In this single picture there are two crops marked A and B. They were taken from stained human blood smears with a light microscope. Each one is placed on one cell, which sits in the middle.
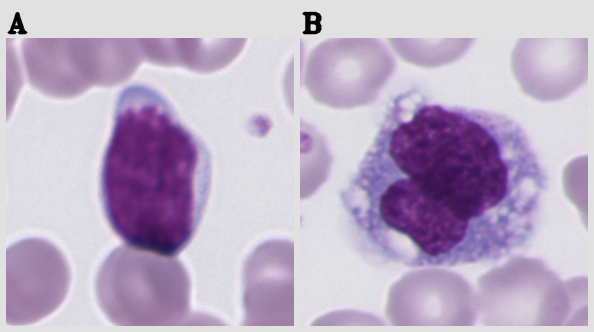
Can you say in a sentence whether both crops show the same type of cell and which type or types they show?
No, it is in crop A that a large granular lymphocyte is shown, and in crop B that a monocyte is shown.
